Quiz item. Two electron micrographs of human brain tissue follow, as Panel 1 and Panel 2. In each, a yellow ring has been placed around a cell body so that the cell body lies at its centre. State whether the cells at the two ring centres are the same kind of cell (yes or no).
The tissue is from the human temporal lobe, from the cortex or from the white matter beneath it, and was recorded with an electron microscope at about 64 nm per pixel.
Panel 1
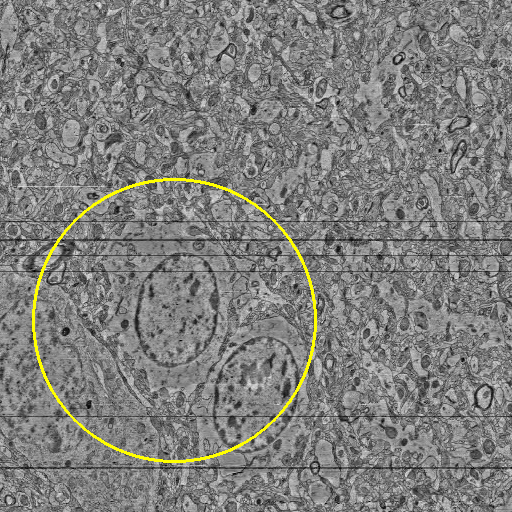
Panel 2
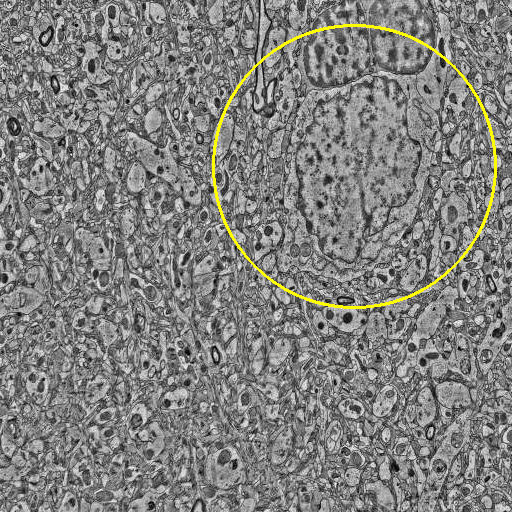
no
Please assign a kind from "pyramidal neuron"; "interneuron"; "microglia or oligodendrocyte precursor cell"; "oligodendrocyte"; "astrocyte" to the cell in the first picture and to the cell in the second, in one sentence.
In the first picture we have an astrocyte, and in the second, an interneuron.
